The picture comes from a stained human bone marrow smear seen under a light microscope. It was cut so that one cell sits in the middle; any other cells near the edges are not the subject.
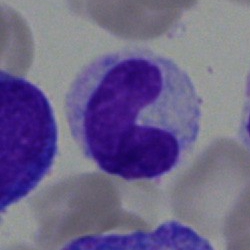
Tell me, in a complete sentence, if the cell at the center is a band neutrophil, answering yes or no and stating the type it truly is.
Yes, a band neutrophil occupies the middle of the crop.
